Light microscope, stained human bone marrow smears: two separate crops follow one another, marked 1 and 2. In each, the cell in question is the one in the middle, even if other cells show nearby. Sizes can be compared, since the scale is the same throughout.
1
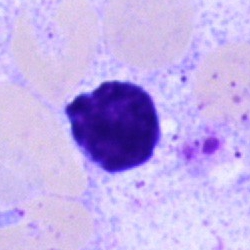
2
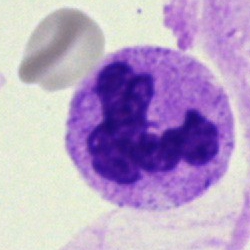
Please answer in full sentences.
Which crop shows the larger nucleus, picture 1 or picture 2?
Picture 2 shows the larger nucleus; it covers about 1.5 times the area of the nucleus in picture 1.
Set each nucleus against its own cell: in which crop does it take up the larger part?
It is the cell in picture 1 that is filled more by its nucleus.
